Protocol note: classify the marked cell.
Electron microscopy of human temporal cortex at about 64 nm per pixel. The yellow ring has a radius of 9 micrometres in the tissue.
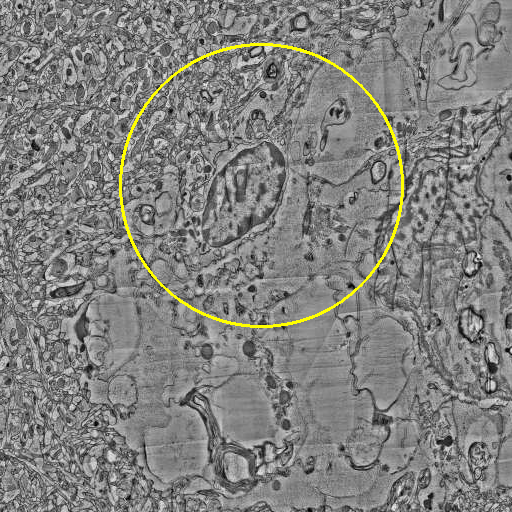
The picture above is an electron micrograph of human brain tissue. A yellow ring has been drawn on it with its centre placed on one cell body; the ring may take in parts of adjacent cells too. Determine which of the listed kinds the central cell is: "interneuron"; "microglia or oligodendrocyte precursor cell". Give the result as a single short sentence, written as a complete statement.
The central cell is a microglial cell or oligodendrocyte precursor cell.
